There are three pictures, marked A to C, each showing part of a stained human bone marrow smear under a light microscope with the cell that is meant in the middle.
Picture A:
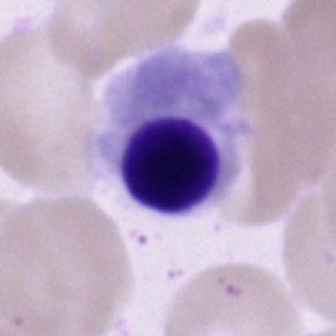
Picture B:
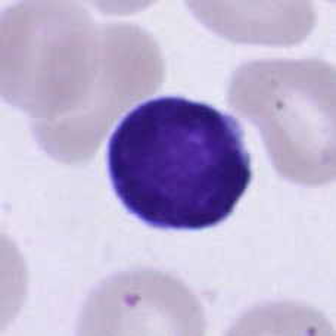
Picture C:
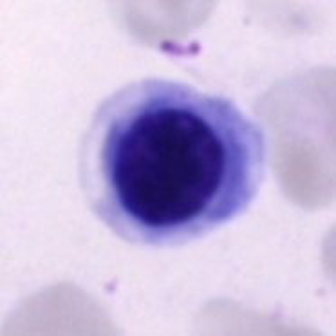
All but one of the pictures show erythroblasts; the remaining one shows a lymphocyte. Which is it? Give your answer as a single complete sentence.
The cell in picture B is the lymphocyte.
